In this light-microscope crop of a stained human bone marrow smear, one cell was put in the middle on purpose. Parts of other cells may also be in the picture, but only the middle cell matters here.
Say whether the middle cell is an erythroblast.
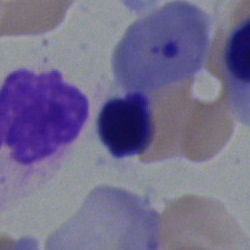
yes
